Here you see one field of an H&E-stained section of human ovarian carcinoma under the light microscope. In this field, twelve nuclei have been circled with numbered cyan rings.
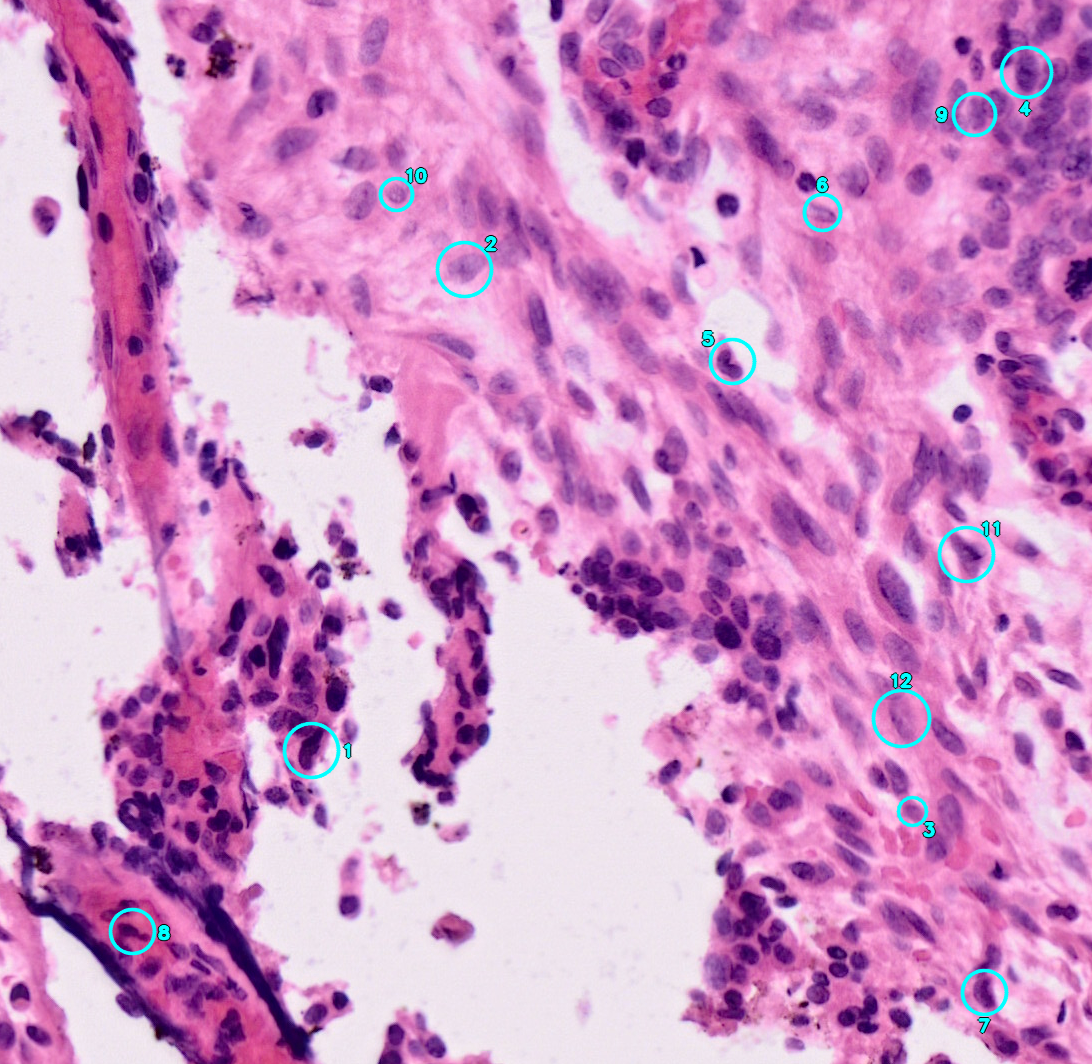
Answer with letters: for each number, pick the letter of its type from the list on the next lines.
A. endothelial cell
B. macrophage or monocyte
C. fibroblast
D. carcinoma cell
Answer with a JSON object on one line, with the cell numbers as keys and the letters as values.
{"1": "D", "2": "C", "3": "C", "4": "D", "5": "B", "6": "C", "7": "C", "8": "A", "9": "D", "10": "C", "11": "C", "12": "C"}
